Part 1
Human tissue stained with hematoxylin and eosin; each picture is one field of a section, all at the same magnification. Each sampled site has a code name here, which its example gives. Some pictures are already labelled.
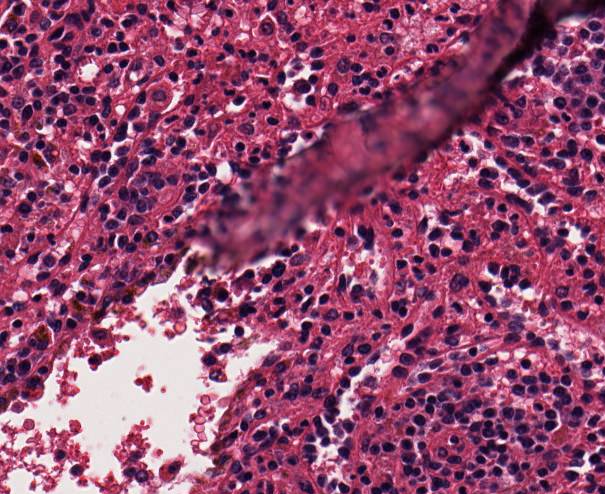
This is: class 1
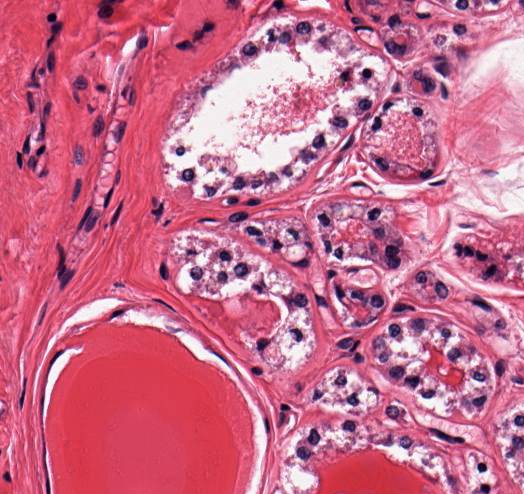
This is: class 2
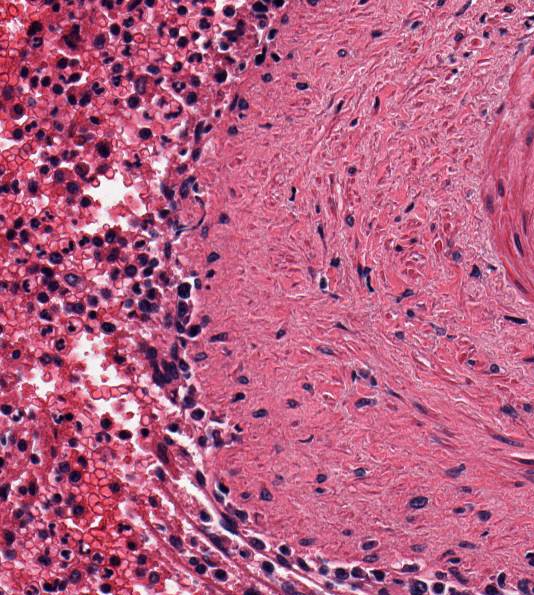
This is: class 1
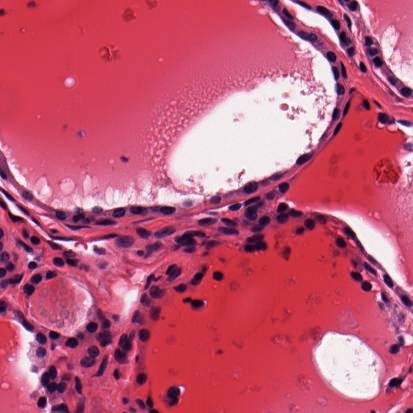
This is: class 2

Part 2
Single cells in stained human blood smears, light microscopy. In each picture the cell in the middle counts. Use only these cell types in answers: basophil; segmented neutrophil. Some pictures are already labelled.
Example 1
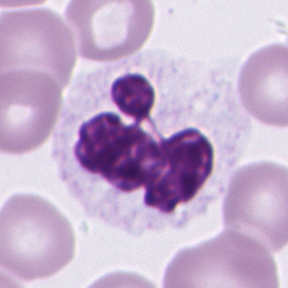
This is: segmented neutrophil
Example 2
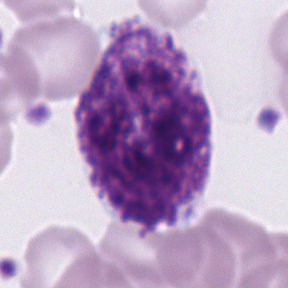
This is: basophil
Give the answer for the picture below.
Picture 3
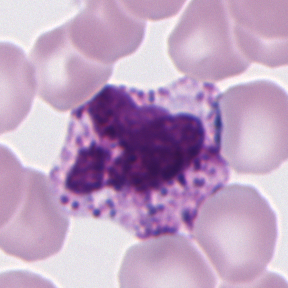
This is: basophil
